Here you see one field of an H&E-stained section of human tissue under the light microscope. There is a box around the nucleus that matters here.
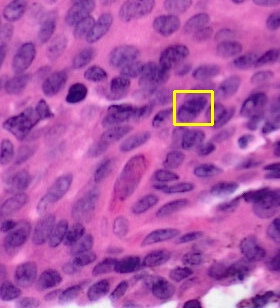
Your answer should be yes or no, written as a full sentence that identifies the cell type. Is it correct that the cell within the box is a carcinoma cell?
Yes, the cell within the box is recognized as a carcinoma cell in this section.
